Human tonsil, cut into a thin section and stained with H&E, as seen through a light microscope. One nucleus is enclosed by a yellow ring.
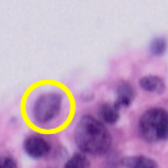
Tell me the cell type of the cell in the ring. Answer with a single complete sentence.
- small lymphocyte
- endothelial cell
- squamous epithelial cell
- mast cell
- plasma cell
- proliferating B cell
Labelled by cell type, the cell in the ring is a proliferating B cell.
